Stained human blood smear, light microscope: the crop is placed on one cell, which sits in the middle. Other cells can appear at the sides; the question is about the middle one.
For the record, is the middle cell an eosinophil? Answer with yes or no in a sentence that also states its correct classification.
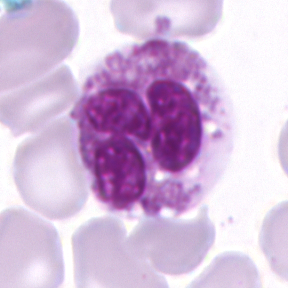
Yes, the cell at the heart of the crop is an eosinophil.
